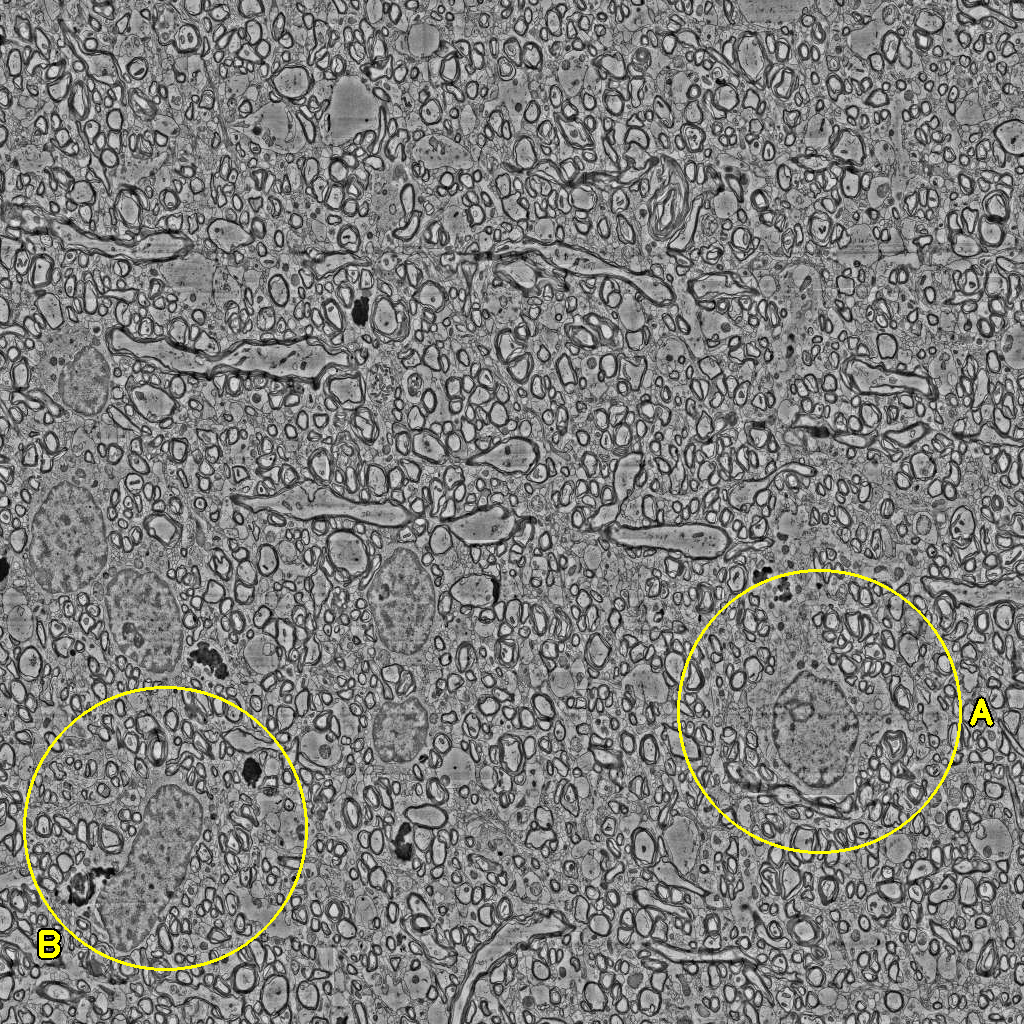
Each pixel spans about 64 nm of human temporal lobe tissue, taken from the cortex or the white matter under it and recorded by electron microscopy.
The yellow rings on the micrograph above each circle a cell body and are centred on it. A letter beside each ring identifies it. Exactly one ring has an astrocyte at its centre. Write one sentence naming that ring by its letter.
Ring A is the one.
